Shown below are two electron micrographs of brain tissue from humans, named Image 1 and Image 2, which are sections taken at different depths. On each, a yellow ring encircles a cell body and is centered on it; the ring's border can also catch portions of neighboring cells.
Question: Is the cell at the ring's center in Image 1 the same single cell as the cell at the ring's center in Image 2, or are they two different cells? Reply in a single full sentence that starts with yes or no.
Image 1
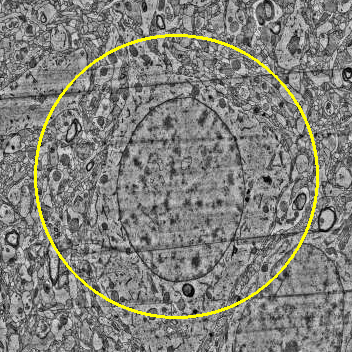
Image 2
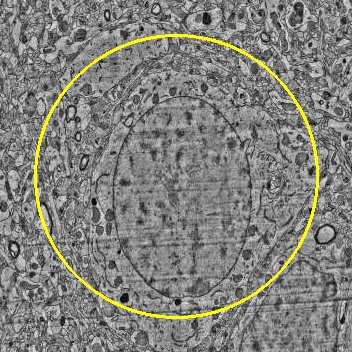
Yes, both circles in yellow pick out the same cell.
